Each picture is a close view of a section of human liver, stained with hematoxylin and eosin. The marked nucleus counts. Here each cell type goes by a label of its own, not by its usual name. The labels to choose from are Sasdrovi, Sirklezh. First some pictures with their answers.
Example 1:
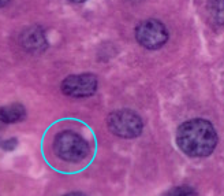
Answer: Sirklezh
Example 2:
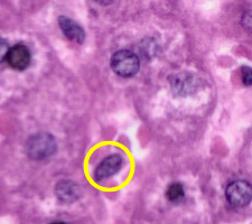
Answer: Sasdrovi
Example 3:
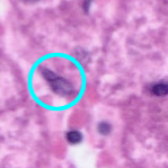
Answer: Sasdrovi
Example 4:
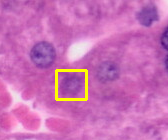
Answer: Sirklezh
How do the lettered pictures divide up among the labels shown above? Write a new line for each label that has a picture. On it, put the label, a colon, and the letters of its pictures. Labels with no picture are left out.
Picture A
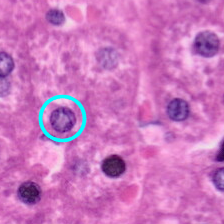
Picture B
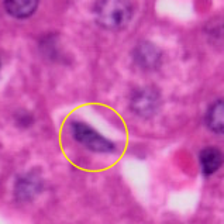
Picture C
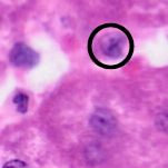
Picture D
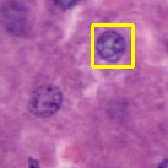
Sasdrovi: B, C
Sirklezh: A, D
